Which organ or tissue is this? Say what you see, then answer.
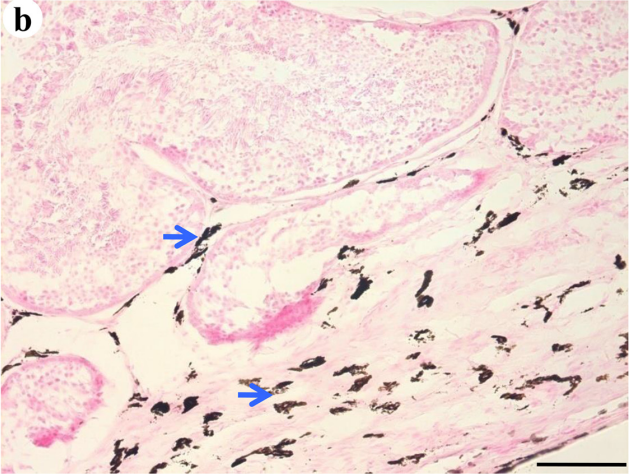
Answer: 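Testis. Tubules are separated by interstitial tissue.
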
